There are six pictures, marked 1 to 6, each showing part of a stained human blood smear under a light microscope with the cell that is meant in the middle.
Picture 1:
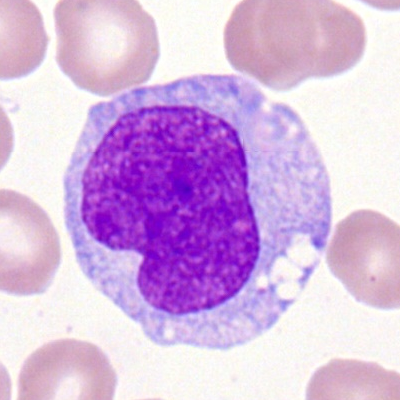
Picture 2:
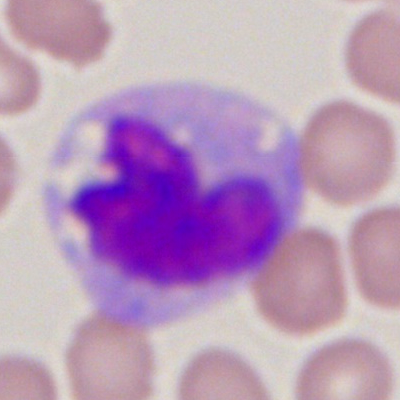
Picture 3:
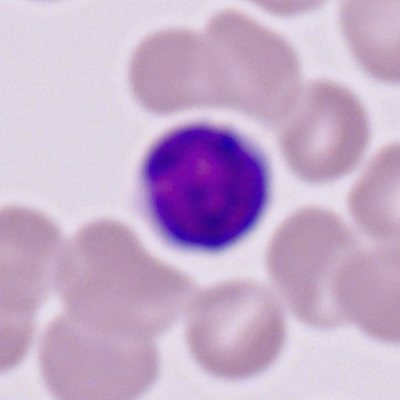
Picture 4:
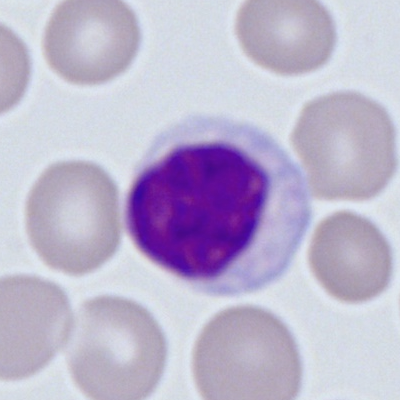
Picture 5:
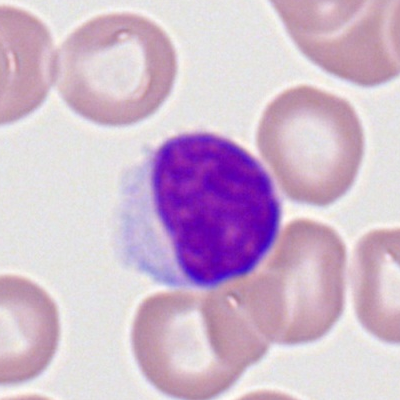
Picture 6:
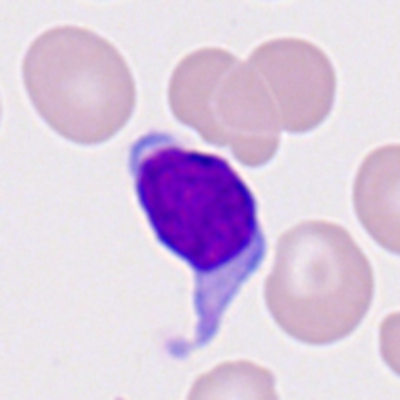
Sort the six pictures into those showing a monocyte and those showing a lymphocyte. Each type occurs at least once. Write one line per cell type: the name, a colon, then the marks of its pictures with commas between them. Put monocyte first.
monocyte: 1, 2
lymphocyte: 3, 4, 5, 6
